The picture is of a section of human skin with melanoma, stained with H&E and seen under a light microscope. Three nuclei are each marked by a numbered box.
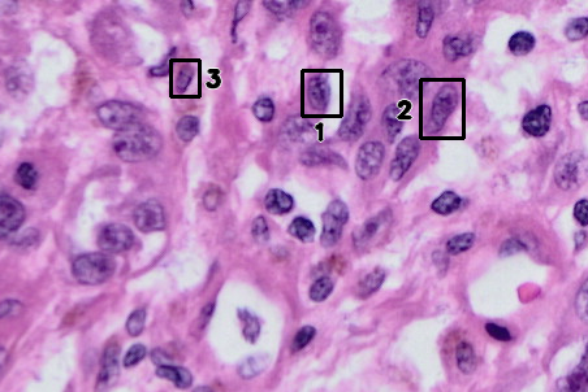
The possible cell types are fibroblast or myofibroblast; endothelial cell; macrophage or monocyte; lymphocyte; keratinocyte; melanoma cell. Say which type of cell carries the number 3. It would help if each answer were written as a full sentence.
The cell marked with the number 3 is a macrophage or monocyte.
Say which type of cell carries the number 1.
The cell identified by number 1 is a melanoma cell.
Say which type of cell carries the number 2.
Marked with the number 2, this cell is a melanoma cell.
